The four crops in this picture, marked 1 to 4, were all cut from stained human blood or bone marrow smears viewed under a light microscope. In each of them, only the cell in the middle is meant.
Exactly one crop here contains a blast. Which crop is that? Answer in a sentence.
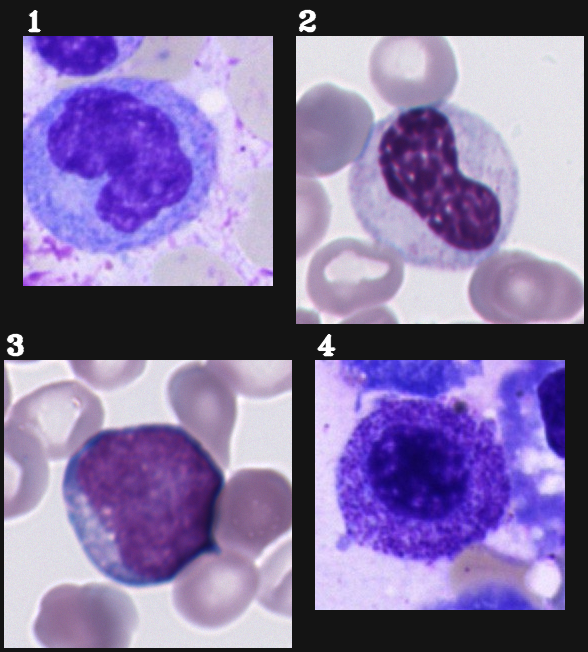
Crop 3 is the correct crop, and it shows a blast.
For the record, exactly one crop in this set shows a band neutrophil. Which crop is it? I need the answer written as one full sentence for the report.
Among the crops given, only crop 2 shows a band neutrophil.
